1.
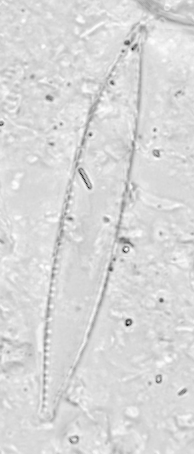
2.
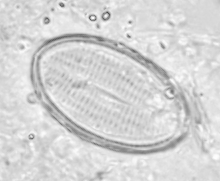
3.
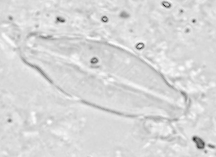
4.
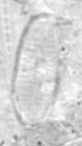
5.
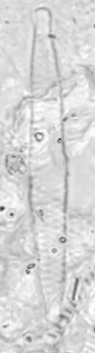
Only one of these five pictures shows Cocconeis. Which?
Picture 2.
